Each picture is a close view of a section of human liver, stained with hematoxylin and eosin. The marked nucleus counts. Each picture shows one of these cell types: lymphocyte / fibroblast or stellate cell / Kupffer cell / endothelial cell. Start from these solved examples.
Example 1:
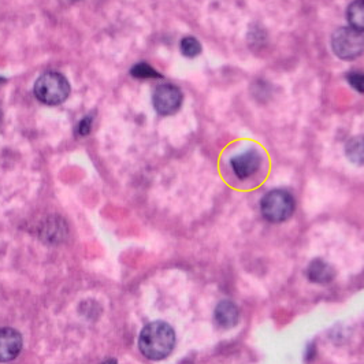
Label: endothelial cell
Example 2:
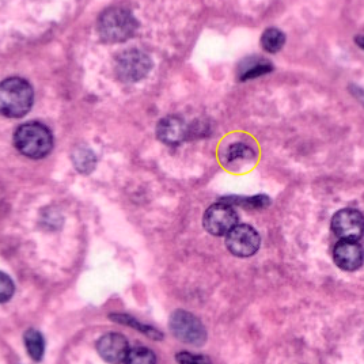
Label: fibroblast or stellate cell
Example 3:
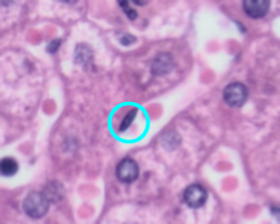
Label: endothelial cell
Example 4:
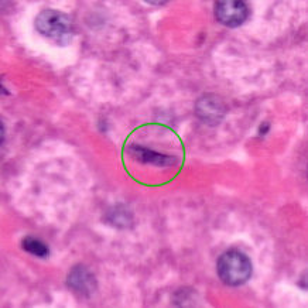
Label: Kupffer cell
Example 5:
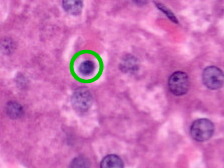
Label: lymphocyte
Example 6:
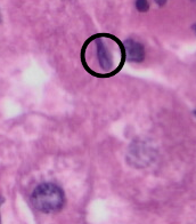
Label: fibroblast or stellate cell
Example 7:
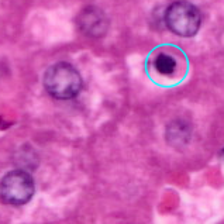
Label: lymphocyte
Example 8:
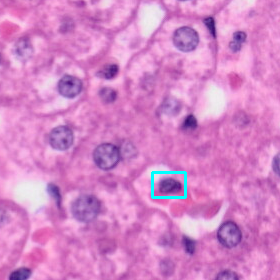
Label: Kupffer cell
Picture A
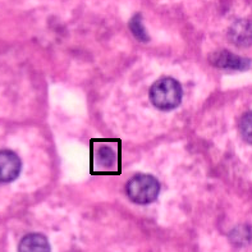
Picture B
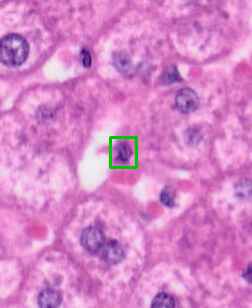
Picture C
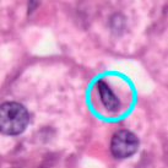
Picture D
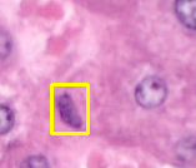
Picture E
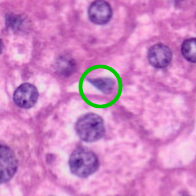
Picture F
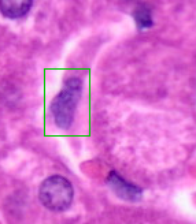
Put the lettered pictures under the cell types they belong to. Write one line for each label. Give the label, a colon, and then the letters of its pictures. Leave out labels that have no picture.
fibroblast or stellate cell: C, D
Kupffer cell: A, B, F
endothelial cell: E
